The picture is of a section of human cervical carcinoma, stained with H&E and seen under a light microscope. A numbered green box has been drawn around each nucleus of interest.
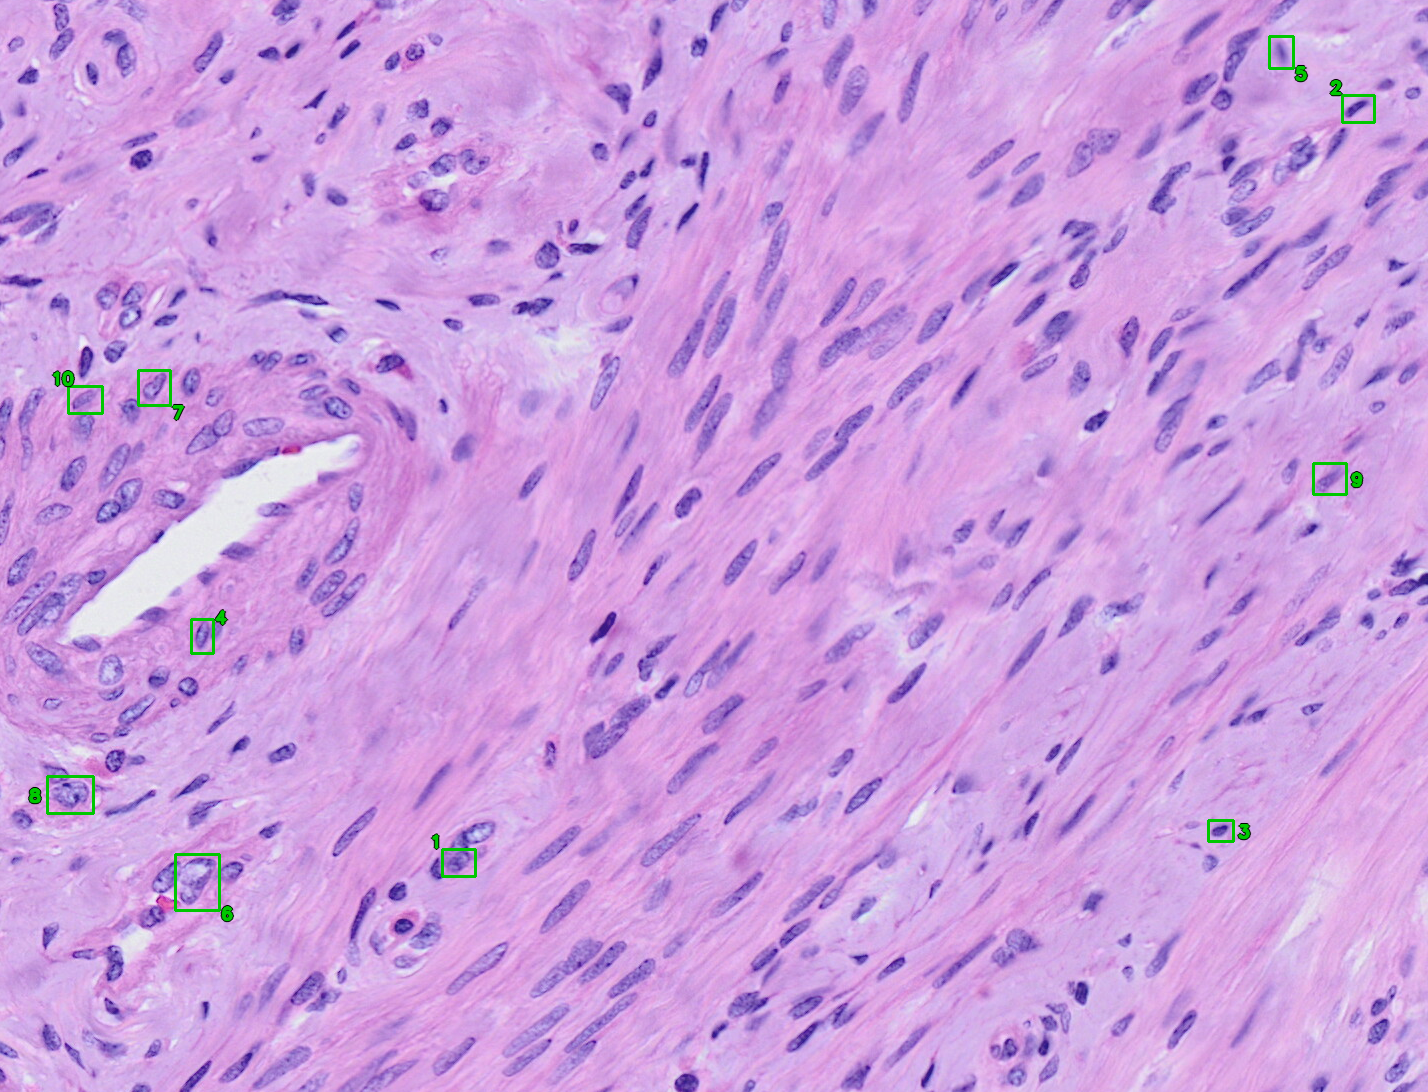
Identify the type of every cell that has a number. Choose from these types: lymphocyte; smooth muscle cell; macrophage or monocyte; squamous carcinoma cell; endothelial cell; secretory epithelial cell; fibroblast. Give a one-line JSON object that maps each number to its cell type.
{"1": "endothelial cell", "2": "fibroblast", "3": "fibroblast", "4": "smooth muscle cell", "5": "fibroblast", "6": "endothelial cell", "7": "smooth muscle cell", "8": "endothelial cell", "9": "smooth muscle cell", "10": "smooth muscle cell"}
